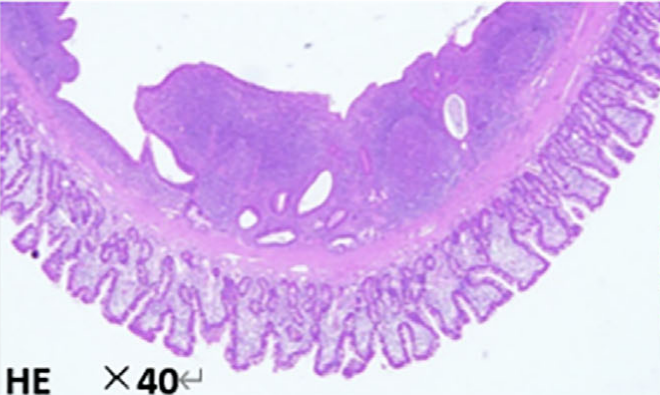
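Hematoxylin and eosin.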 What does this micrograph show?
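Above the mucosa runs a smooth pink band of muscle. On the inner side lies a thick, densely cellular purple layer containing several small round dilated glandular spaces, forming a raised mass that bulges into the lumen.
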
